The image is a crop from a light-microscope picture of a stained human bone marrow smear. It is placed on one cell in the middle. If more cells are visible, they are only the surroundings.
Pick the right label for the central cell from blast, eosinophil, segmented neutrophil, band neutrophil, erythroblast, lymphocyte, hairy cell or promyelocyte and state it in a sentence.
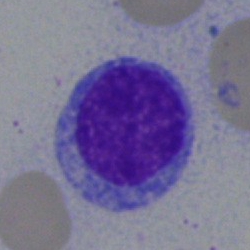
The single cell at the center of the crop is a lymphocyte.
